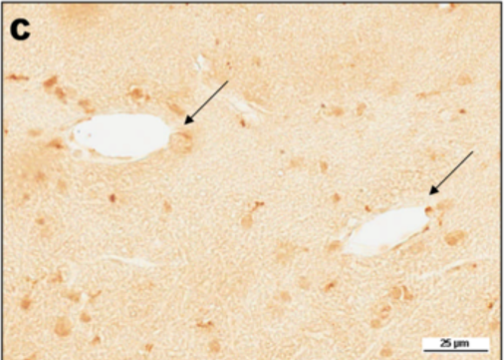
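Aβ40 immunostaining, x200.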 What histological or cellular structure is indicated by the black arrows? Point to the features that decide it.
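The arrows point to elongated empty lumens bounded by a thin wall. The lumens lie within finely textured parenchyma scattered with cell bodies.
Brain parenchymal vessels.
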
